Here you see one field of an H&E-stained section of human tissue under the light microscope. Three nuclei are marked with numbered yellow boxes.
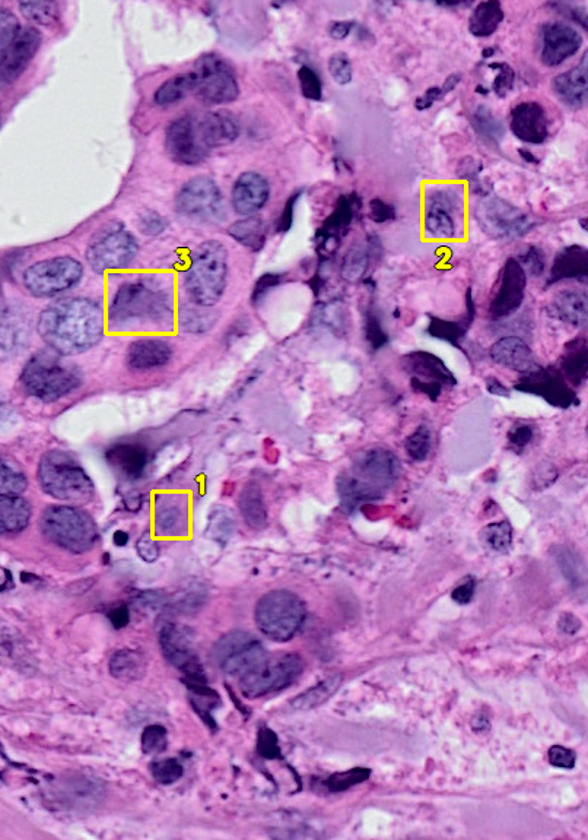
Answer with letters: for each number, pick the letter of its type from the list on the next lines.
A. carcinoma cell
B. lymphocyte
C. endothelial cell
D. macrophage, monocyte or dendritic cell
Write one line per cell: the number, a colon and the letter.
1: C
2: D
3: A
